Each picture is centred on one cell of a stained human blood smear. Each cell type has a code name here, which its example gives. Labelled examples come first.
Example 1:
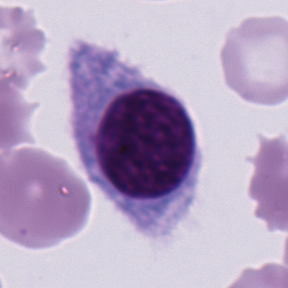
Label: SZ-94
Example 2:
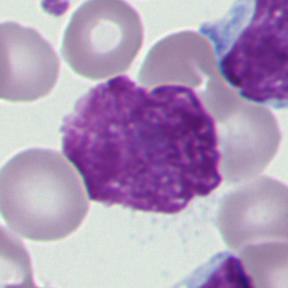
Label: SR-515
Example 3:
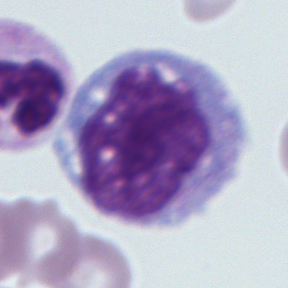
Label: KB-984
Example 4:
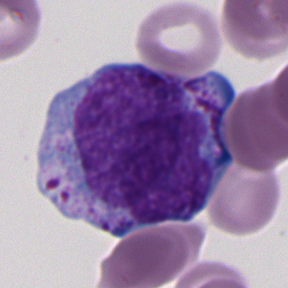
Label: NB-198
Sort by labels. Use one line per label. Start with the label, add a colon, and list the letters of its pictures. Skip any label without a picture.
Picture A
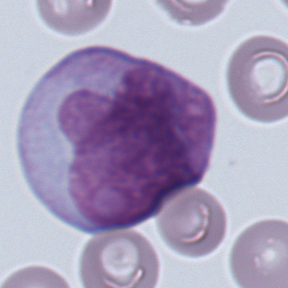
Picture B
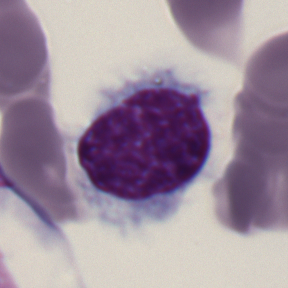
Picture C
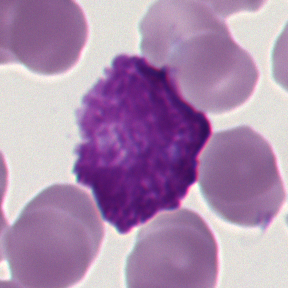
SZ-94: B
SR-515: C
NB-198: A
